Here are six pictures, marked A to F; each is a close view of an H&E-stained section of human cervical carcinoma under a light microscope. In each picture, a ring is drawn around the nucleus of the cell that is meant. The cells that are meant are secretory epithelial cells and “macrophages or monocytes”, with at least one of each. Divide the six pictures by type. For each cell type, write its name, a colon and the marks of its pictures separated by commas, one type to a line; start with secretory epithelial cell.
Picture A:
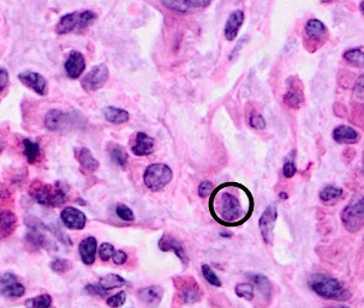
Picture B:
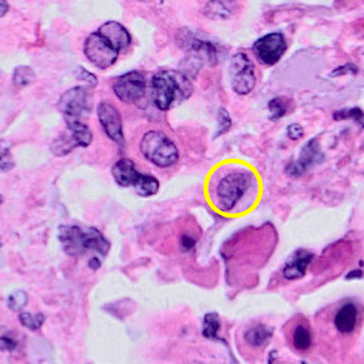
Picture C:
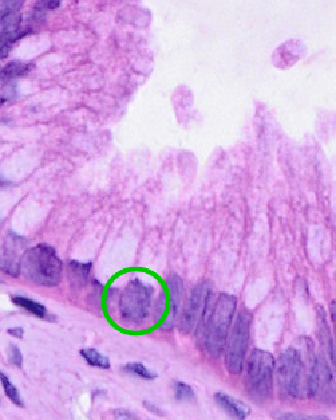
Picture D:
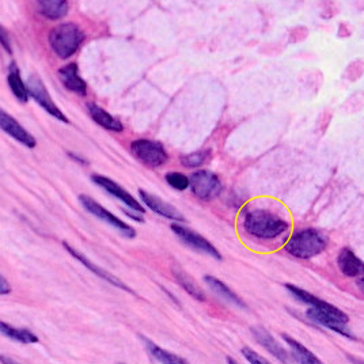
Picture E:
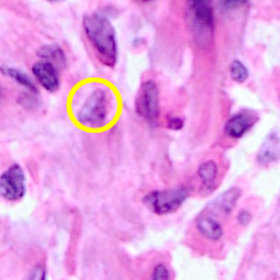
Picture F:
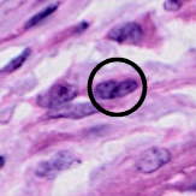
secretory epithelial cell: C, D
macrophage or monocyte: A, B, E, F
